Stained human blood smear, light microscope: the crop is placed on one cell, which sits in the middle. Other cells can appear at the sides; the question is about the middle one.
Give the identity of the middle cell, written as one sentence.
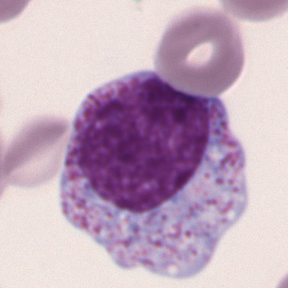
The crop centres on a single cell, and that cell is a promyelocyte.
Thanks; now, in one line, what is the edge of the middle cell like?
In outline, the cell is irregular, ragged in stretches or drawn into projections.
